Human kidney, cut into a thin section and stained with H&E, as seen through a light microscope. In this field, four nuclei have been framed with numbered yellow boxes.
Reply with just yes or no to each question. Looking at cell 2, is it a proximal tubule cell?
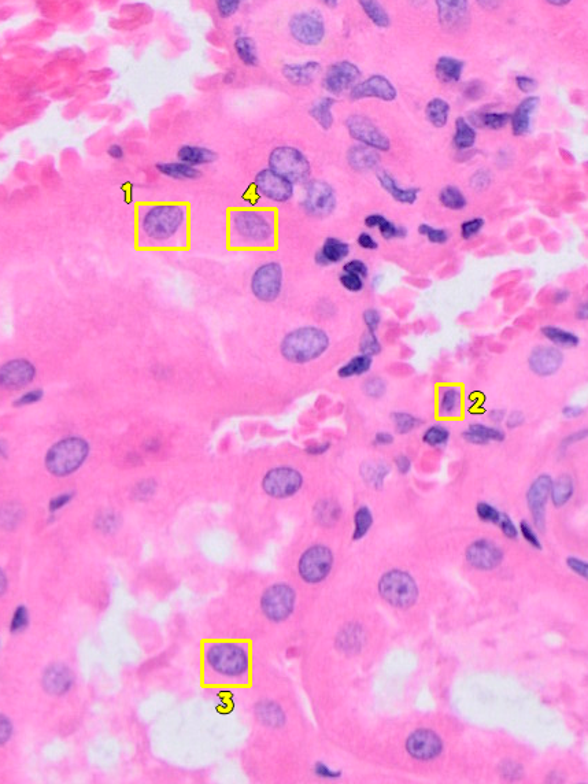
no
